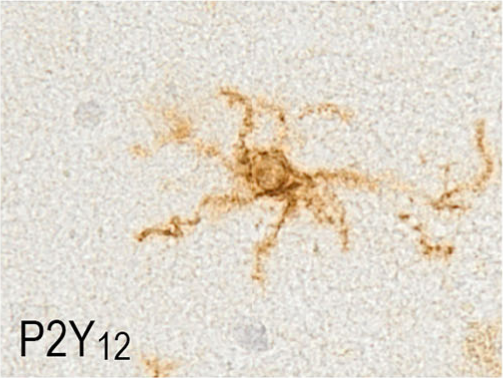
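The cell body is small and roughly round, with a faintly outlined nucleus at its centre. From it radiate many thin, branching processes that extend in all directions and taper, some appearing beaded along their length. The surrounding neuropil has a fine granular texture with faint diffuse brown background. Few other nuclei are visible, and these remain pale grey-blue without brown stain.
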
